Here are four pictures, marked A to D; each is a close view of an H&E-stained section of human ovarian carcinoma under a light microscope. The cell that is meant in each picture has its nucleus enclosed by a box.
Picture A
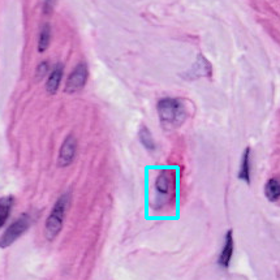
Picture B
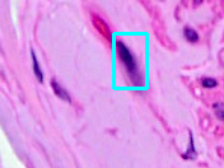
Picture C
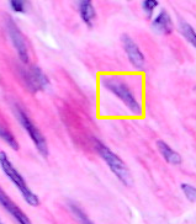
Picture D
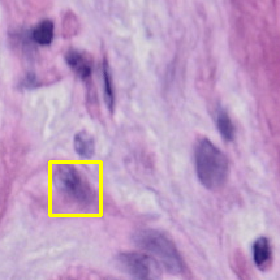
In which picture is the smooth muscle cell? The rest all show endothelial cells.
C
